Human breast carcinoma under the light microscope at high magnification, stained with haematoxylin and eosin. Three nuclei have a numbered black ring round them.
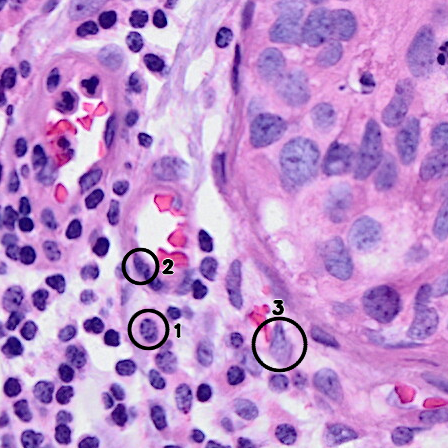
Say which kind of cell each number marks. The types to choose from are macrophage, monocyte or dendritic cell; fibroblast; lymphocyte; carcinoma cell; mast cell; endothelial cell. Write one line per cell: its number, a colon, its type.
1: mast cell
2: endothelial cell
3: endothelial cell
